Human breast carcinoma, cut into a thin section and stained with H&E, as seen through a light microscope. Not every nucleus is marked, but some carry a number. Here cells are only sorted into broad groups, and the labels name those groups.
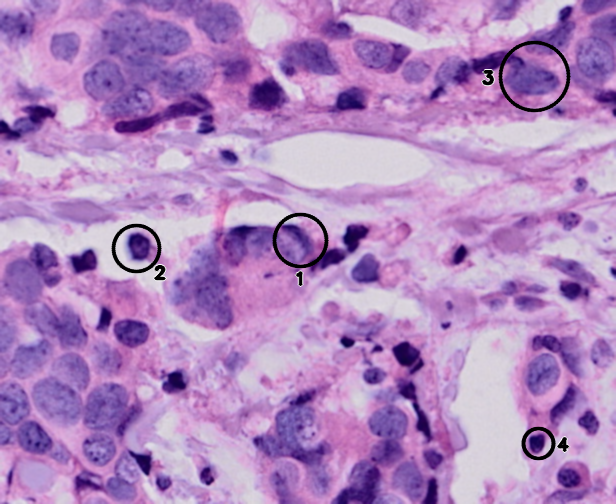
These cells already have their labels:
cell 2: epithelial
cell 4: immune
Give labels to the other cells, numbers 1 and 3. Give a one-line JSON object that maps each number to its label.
{"1": "epithelial", "3": "epithelial"}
